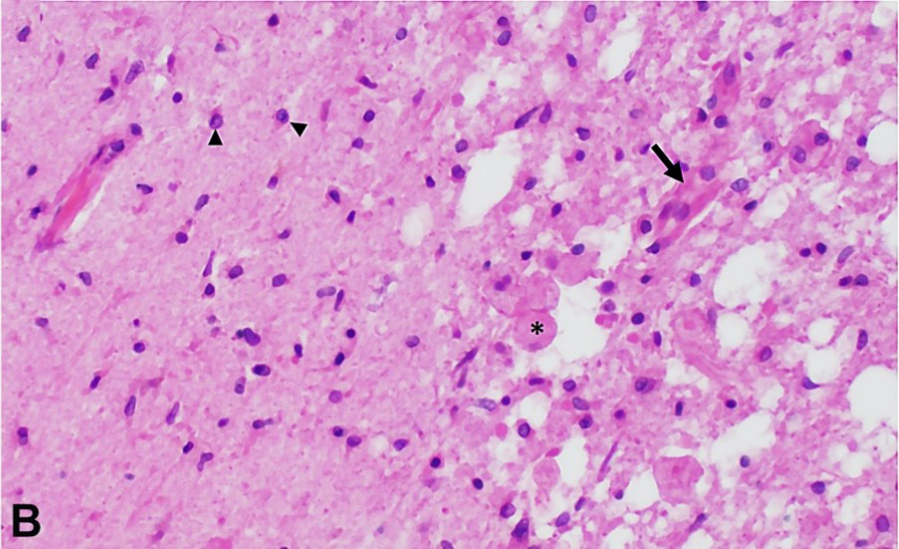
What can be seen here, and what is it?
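This field shows the border between a necrotic core and adjacent reactive glial tissue in the brain. On the left, the glial tissue is a compact, finely fibrillary pink background with scattered small, dark, round to oval nuclei. To the right, the tissue becomes loose and riddled with clear vacuoles, and large round macrophages with abundant pale pink cytoplasm and small nuclei lie among them. Small thin-walled vessels lined by plump nuclei run through the loosened area, marking new vessel growth.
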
